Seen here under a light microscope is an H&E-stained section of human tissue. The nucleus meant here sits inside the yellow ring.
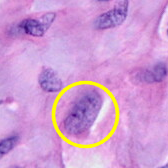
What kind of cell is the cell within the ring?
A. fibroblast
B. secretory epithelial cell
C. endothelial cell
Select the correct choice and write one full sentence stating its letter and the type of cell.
The right pick is option C; the cell within the ring is an endothelial cell.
